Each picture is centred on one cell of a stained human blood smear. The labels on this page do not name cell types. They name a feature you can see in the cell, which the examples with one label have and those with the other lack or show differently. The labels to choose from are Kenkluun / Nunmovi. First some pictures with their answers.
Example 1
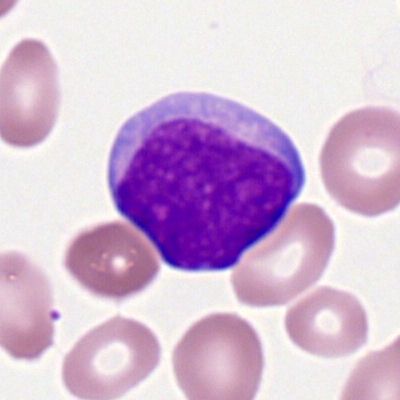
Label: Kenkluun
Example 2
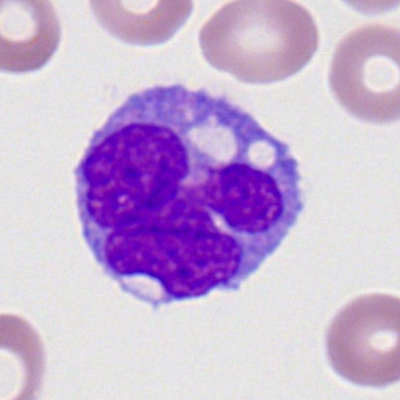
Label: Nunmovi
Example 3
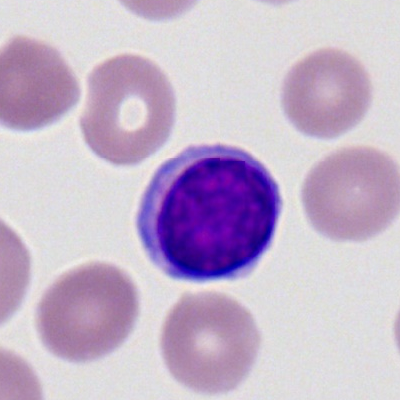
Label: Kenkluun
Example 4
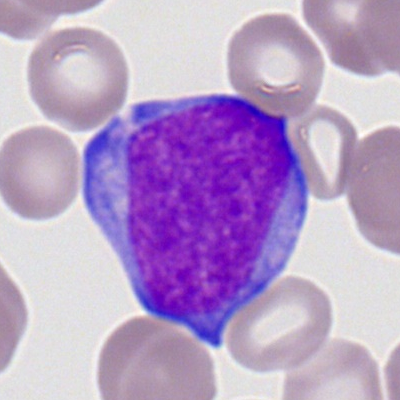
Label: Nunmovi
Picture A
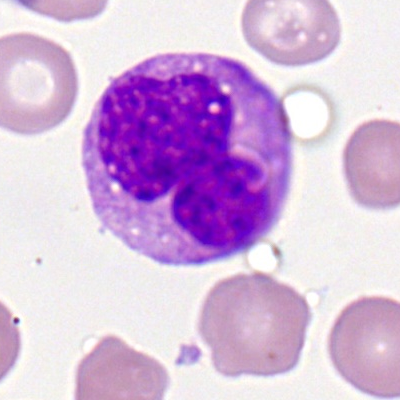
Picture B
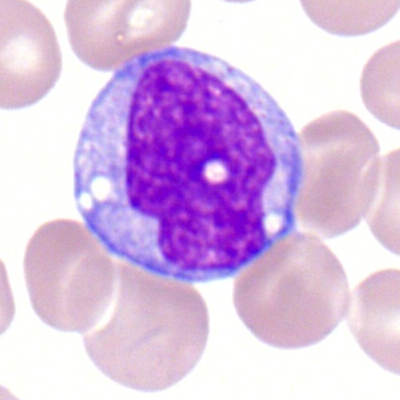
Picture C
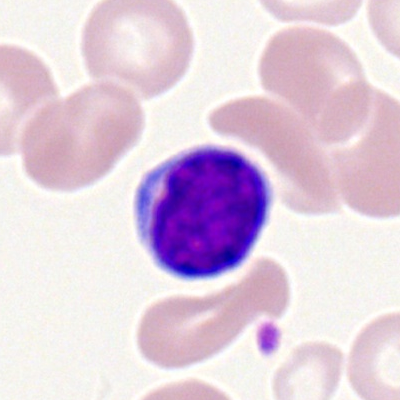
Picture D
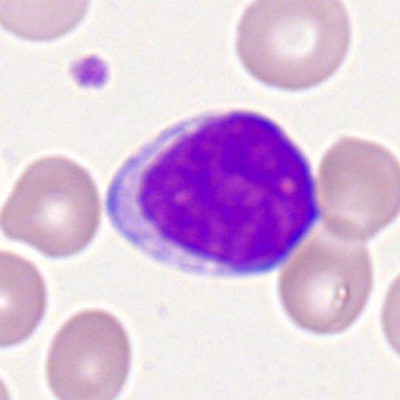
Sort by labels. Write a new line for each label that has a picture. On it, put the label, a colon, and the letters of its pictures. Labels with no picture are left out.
Kenkluun: A, B, C, D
